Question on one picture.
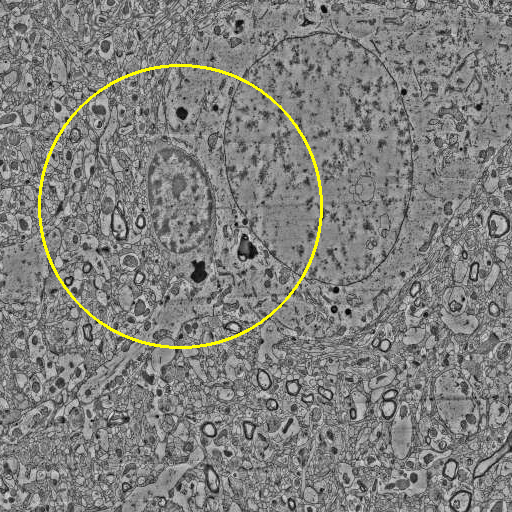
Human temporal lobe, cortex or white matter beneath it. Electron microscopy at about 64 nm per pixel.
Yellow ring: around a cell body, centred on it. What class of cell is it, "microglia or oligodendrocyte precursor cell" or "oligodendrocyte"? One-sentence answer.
This is an oligodendrocyte, the cell the ring is centred on.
